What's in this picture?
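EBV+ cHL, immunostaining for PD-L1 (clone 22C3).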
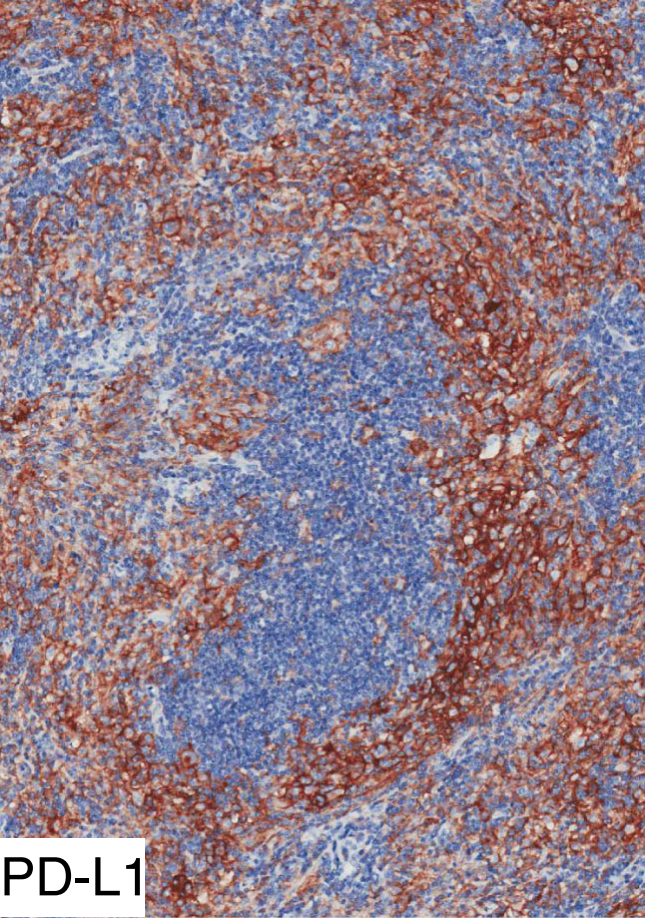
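This is lymphoid tissue with a large rounded follicle of small, densely packed lymphocytes whose nuclei are blue and which carry no brown stain. Around the follicle runs a broad, irregular ring of intensely brown-stained cells. These stained cells are larger than the lymphocytes, with abundant cytoplasm and brown outlining of their cell membranes, and they are likely macrophages. Brown-stained cells also lie in scattered clusters in the tissue between follicles, while the follicle centre stays almost free of them.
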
